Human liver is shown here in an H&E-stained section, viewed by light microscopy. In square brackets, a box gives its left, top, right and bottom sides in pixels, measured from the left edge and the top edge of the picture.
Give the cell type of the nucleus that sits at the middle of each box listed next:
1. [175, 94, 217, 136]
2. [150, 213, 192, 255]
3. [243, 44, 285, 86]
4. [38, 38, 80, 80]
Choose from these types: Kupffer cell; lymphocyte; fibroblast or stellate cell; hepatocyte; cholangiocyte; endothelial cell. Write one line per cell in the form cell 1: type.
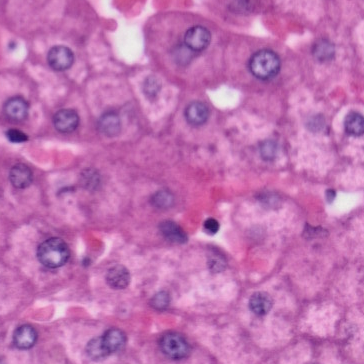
cell 1: hepatocyte
cell 2: endothelial cell
cell 3: hepatocyte
cell 4: hepatocyte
